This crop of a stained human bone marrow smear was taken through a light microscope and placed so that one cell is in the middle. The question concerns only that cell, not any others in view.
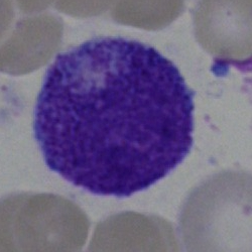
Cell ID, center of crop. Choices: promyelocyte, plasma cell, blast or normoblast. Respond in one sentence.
In the center of this field lies a promyelocyte.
